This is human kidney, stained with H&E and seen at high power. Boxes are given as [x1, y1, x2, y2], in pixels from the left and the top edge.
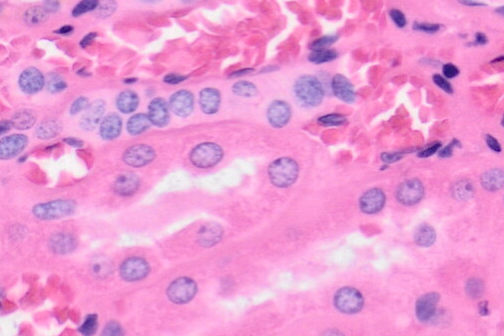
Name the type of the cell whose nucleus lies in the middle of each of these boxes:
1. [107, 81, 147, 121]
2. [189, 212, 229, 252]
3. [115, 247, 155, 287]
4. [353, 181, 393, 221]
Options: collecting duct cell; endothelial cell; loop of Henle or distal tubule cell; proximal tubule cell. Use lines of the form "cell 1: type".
cell 1: collecting duct cell
cell 2: proximal tubule cell
cell 3: proximal tubule cell
cell 4: proximal tubule cell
